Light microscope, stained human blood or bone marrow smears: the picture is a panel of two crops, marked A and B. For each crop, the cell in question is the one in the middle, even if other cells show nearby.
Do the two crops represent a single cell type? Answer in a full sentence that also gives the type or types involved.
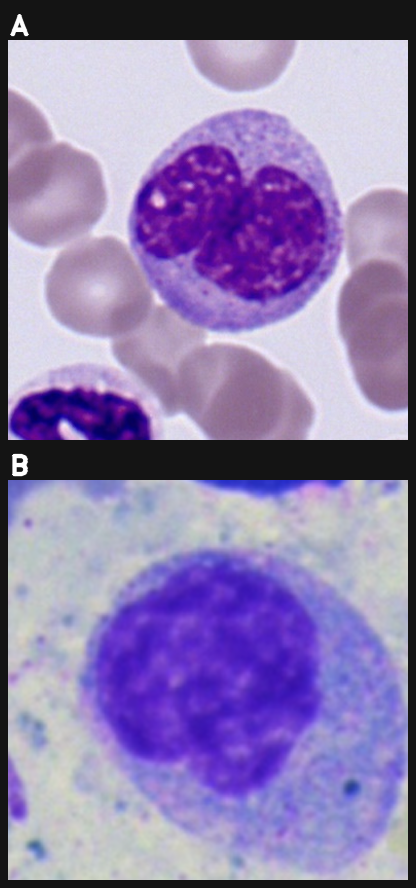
Yes, the two crops are alike in showing monocytes.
